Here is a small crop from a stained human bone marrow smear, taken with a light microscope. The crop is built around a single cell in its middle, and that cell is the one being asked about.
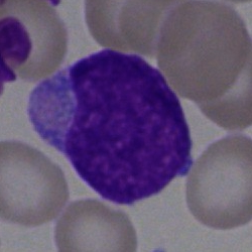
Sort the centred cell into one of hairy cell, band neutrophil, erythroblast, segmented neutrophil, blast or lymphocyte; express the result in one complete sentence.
The cell around which this crop is centred is a blast.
